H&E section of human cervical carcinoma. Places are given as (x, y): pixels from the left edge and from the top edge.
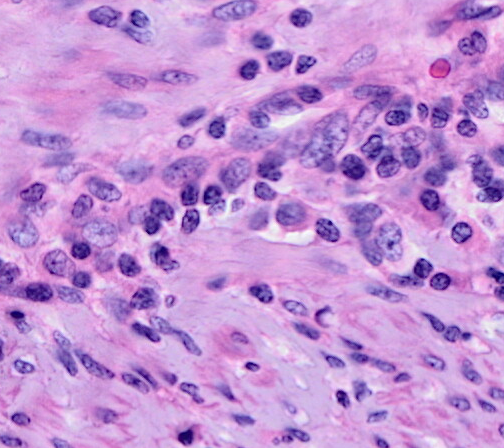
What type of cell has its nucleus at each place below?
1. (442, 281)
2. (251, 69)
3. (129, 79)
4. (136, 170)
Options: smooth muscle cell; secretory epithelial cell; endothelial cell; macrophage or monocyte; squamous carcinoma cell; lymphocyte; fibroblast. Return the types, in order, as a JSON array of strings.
["lymphocyte", "lymphocyte", "smooth muscle cell", "endothelial cell"]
